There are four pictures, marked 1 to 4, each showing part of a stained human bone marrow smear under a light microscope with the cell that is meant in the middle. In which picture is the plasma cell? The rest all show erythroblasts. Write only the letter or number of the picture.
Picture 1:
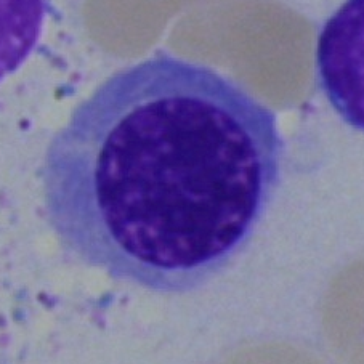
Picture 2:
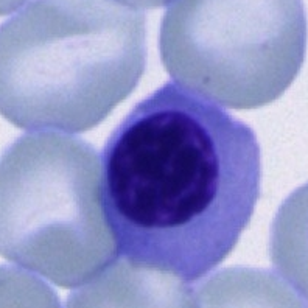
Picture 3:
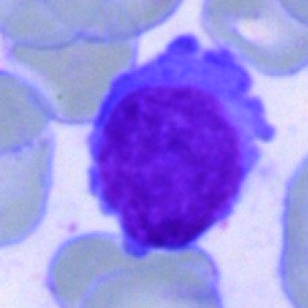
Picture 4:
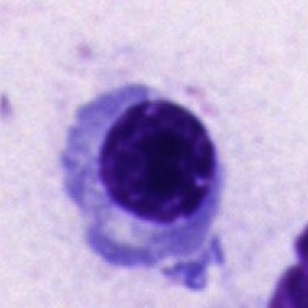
3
